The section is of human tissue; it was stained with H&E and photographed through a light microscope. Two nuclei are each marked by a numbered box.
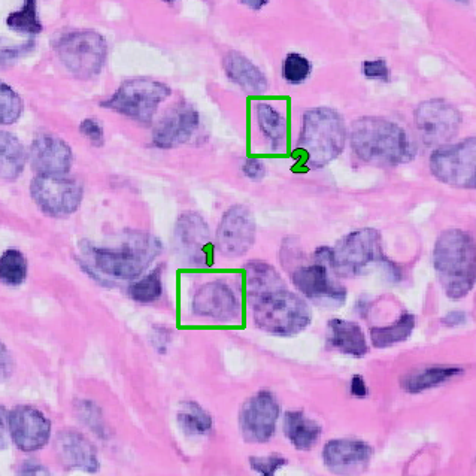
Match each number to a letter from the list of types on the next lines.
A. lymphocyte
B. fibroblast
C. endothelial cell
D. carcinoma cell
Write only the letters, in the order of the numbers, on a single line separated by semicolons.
D; C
